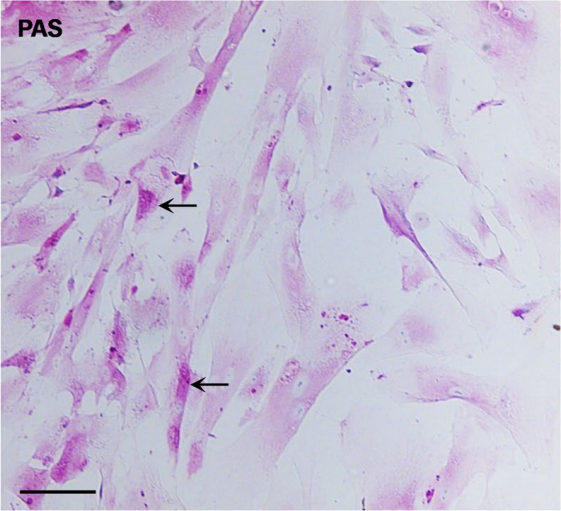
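The cells are large, flat and spread out, many elongated or polygonal with long tapering extensions, lying side by side and partly overlapping. The magenta colour is strongest in some cells, filling the cytoplasm densely, while others stain only faintly pink. Small darker magenta granules are scattered through several cells.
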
